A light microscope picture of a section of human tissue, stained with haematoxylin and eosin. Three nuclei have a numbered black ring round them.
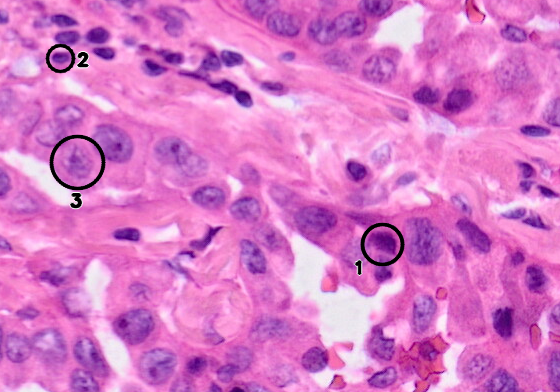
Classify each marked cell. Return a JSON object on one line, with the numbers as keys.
{"1": "carcinoma cell", "2": "lymphocyte", "3": "carcinoma cell"}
